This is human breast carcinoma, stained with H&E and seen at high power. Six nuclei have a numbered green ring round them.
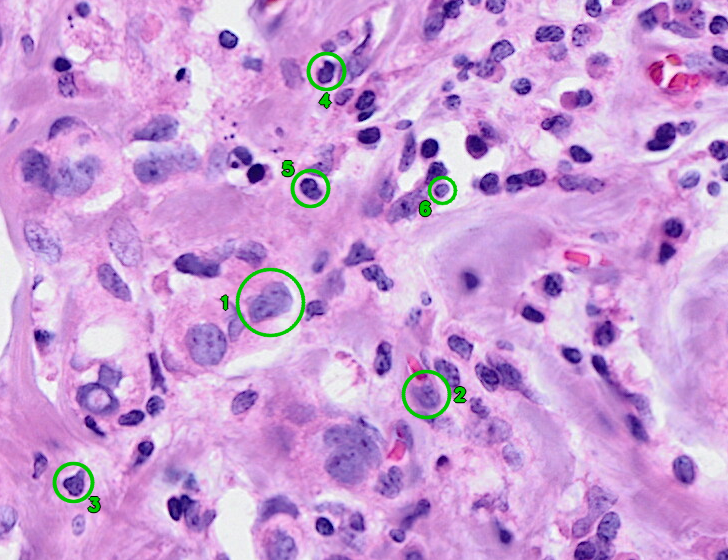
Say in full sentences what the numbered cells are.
Cell 1 is a carcinoma cell, cell 2 is an endothelial cell, cell 3 is a lymphocyte, cell 4 is a lymphocyte, cell 5 is a lymphocyte and cell 6 is a lymphocyte.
